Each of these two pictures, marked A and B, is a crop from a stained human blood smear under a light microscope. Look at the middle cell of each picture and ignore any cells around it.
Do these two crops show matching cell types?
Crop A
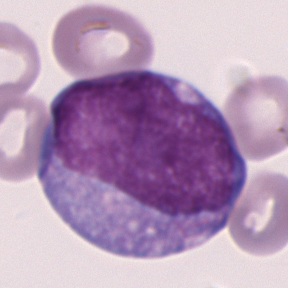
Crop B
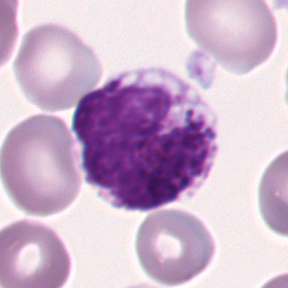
no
